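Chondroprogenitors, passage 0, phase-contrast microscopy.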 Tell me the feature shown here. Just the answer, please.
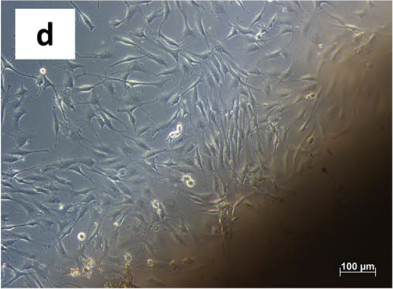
cartilage explants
